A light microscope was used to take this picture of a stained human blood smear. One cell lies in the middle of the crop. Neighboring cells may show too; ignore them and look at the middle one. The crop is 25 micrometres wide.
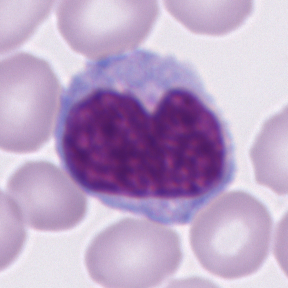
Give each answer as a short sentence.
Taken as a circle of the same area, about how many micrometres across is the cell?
The diameter of the cell comes to about 15 micrometres.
